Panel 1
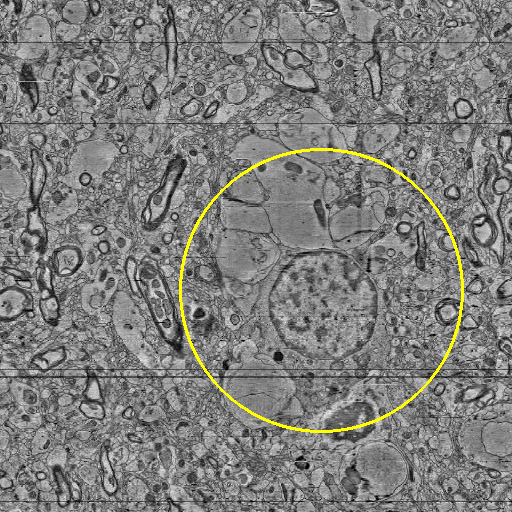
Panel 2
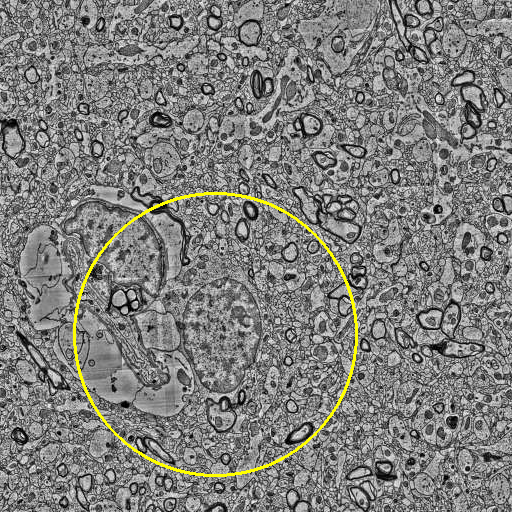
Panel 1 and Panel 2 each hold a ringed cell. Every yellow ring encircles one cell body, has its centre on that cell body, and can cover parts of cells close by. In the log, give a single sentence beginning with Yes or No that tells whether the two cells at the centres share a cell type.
Yes, in Panel 1 and Panel 2 the centred cells share a cell type.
